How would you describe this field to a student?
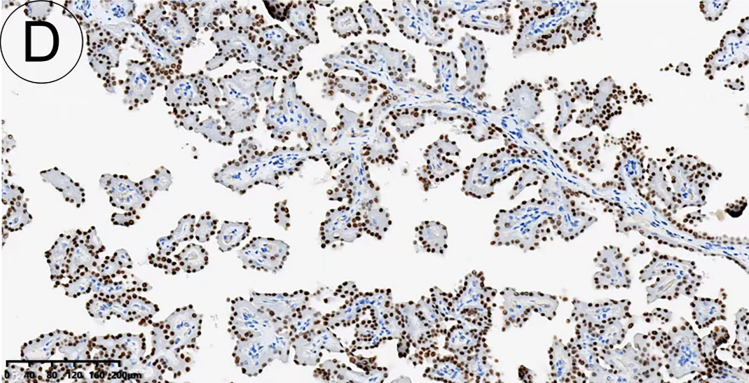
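Papillary fronds of a tumour are seen with their lining cells' nuclei stained brown, while the cytoplasm stays pale grey. The brown round nuclei form a row along the outer edge of each frond, at the free surface. The central cores of the fronds contain elongated spindle nuclei counterstained blue, without brown stain, within pale stroma. Nearly every lining nucleus is stained, giving a diffuse nuclear pattern across the whole field.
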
